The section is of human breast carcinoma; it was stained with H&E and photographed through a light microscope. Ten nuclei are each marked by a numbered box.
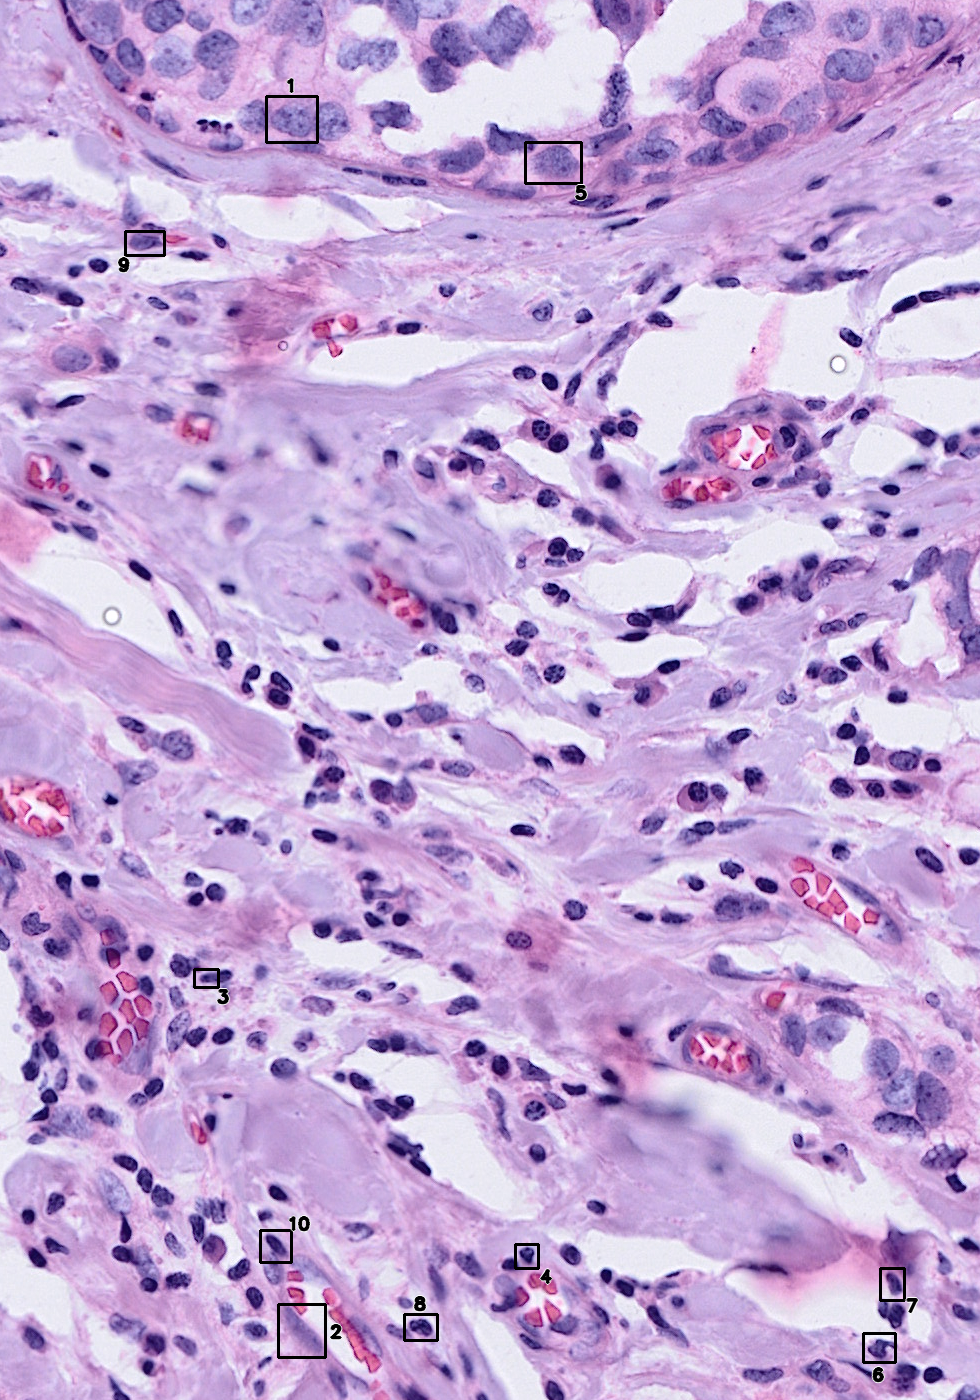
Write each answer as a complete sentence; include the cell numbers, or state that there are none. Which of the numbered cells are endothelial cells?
The cells 2 and 9 in this section are endothelial cells.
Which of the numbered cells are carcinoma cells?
The cells marked with the numbers 1 and 5 are carcinoma cells.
